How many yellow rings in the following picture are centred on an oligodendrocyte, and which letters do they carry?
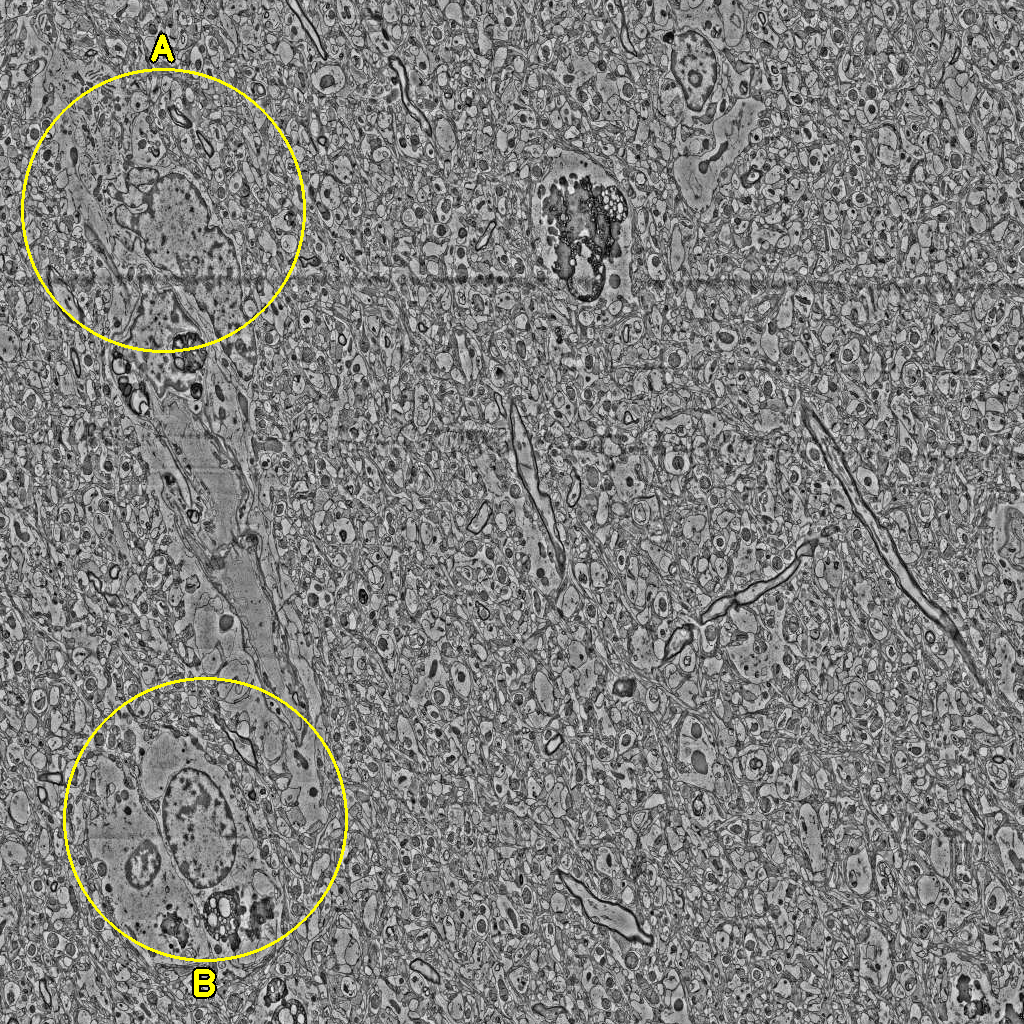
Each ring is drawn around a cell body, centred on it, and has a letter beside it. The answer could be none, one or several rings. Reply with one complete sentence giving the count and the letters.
The lettered rings, all of them, fail to be centred on an oligodendrocyte, so the count is zero.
